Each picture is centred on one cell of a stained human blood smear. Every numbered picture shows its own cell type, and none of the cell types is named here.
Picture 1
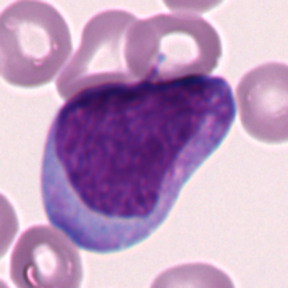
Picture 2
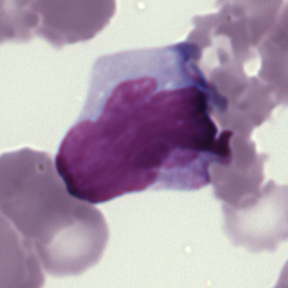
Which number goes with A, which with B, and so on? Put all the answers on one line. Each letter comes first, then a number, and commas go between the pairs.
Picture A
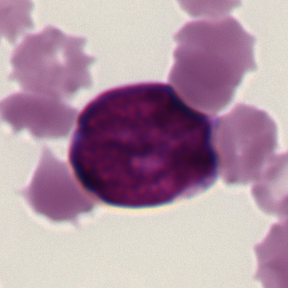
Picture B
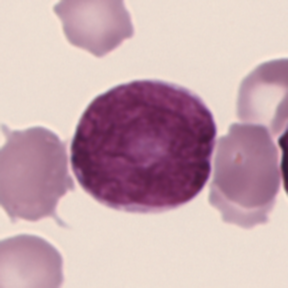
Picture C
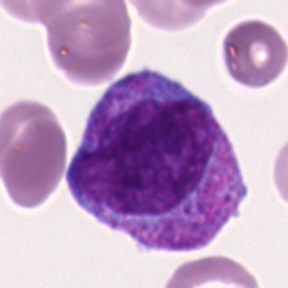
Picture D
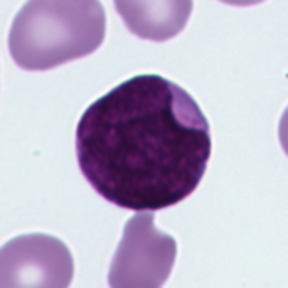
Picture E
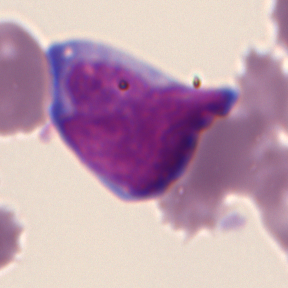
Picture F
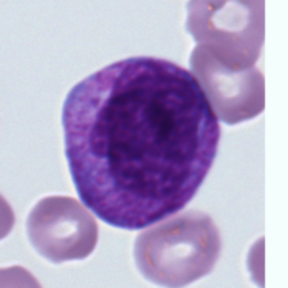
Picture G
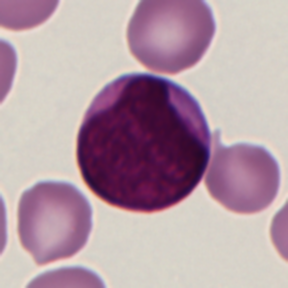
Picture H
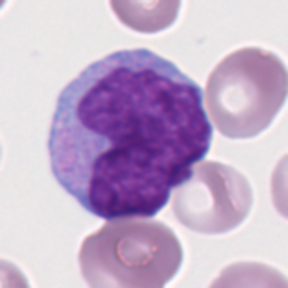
A 2, B 2, C 1, D 2, E 2, F 1, G 2, H 1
